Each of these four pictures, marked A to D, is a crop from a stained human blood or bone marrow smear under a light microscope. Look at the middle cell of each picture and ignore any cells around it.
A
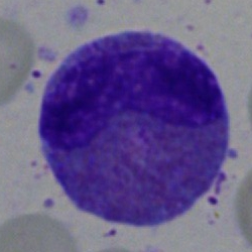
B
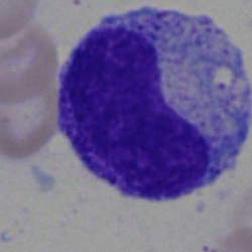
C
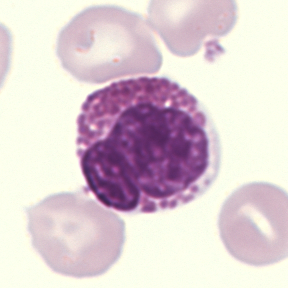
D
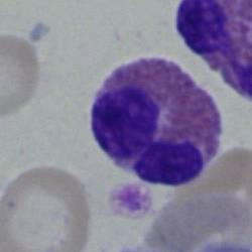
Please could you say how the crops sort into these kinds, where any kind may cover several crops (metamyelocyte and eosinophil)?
A: eosinophil
B: metamyelocyte
C: eosinophil
D: eosinophil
